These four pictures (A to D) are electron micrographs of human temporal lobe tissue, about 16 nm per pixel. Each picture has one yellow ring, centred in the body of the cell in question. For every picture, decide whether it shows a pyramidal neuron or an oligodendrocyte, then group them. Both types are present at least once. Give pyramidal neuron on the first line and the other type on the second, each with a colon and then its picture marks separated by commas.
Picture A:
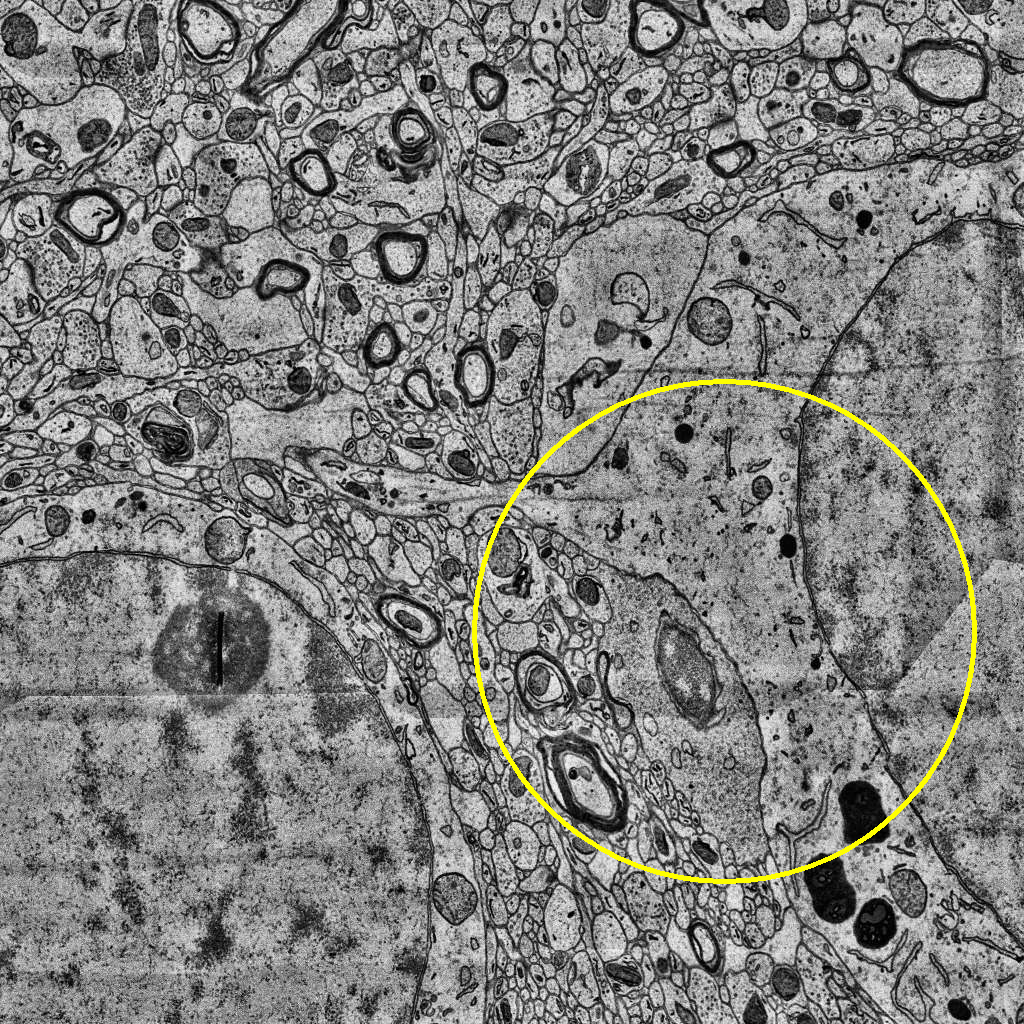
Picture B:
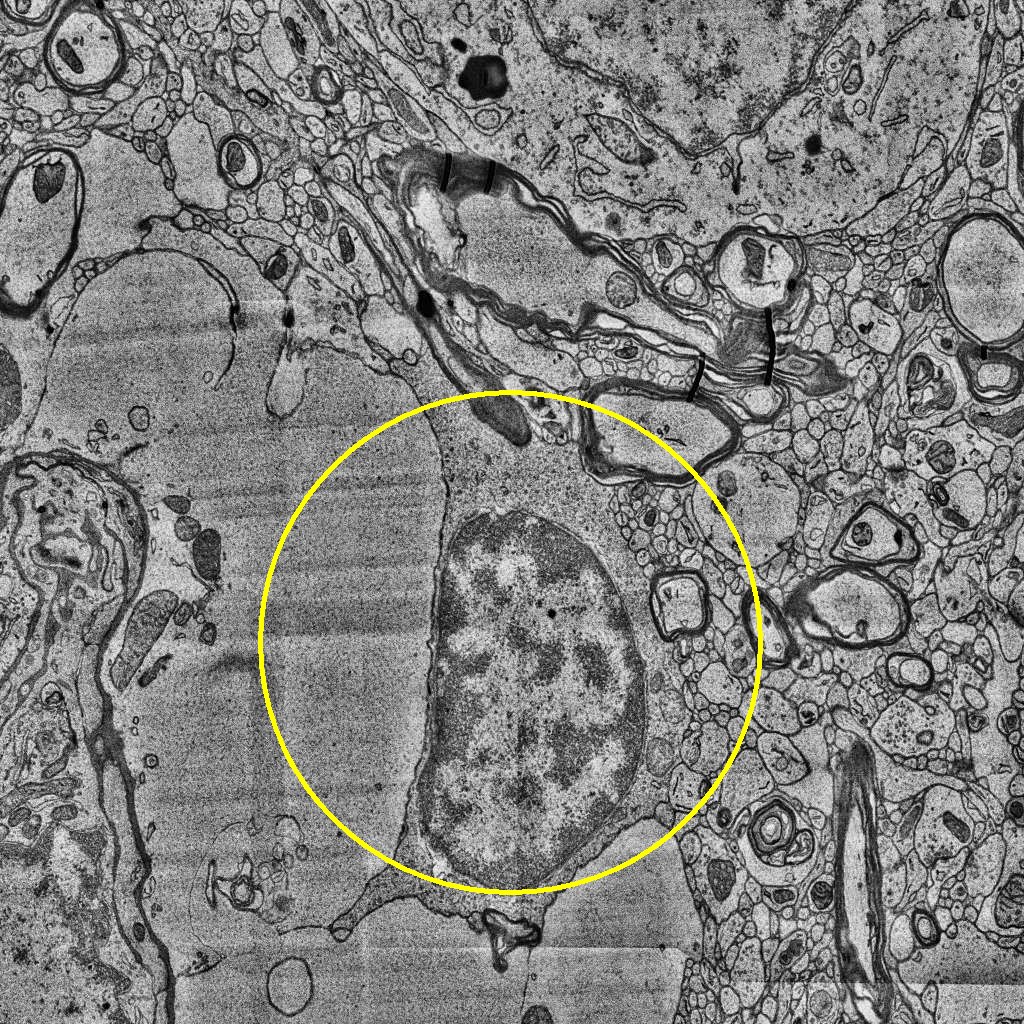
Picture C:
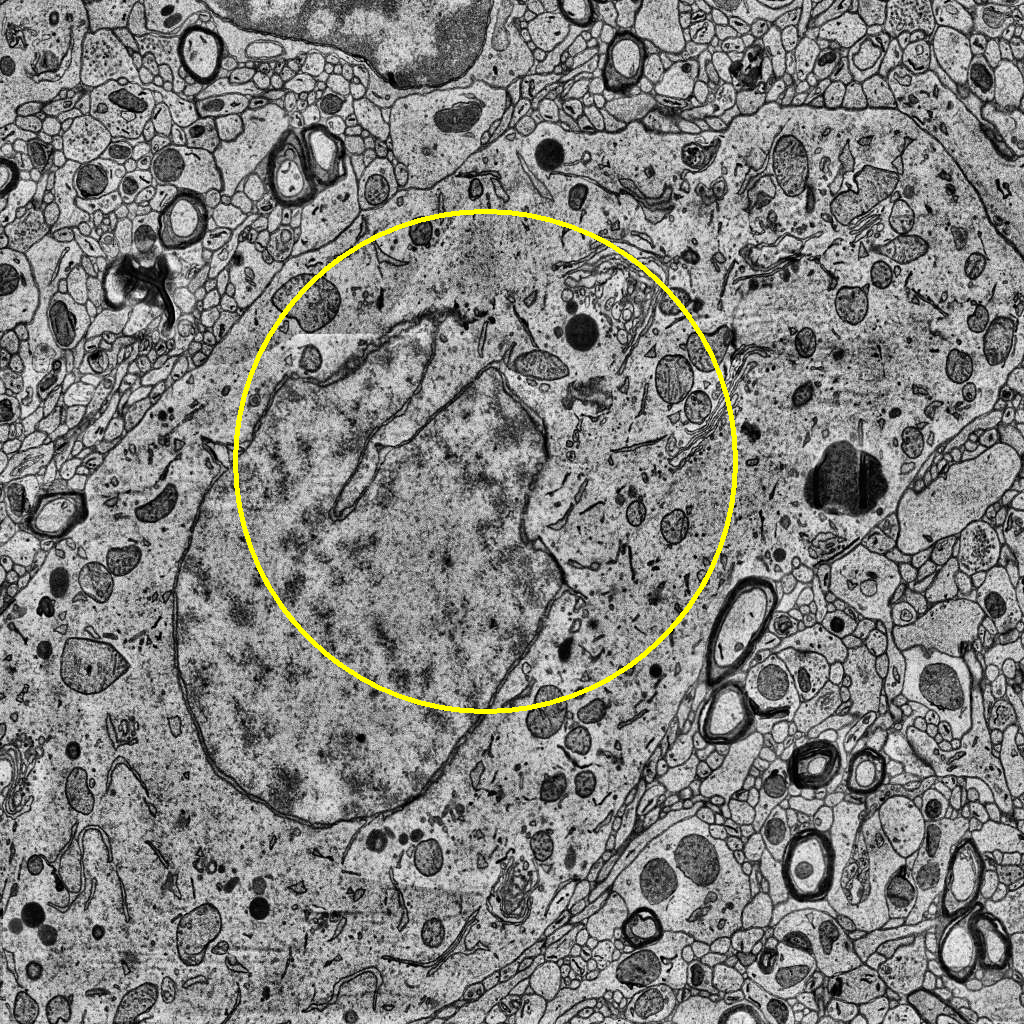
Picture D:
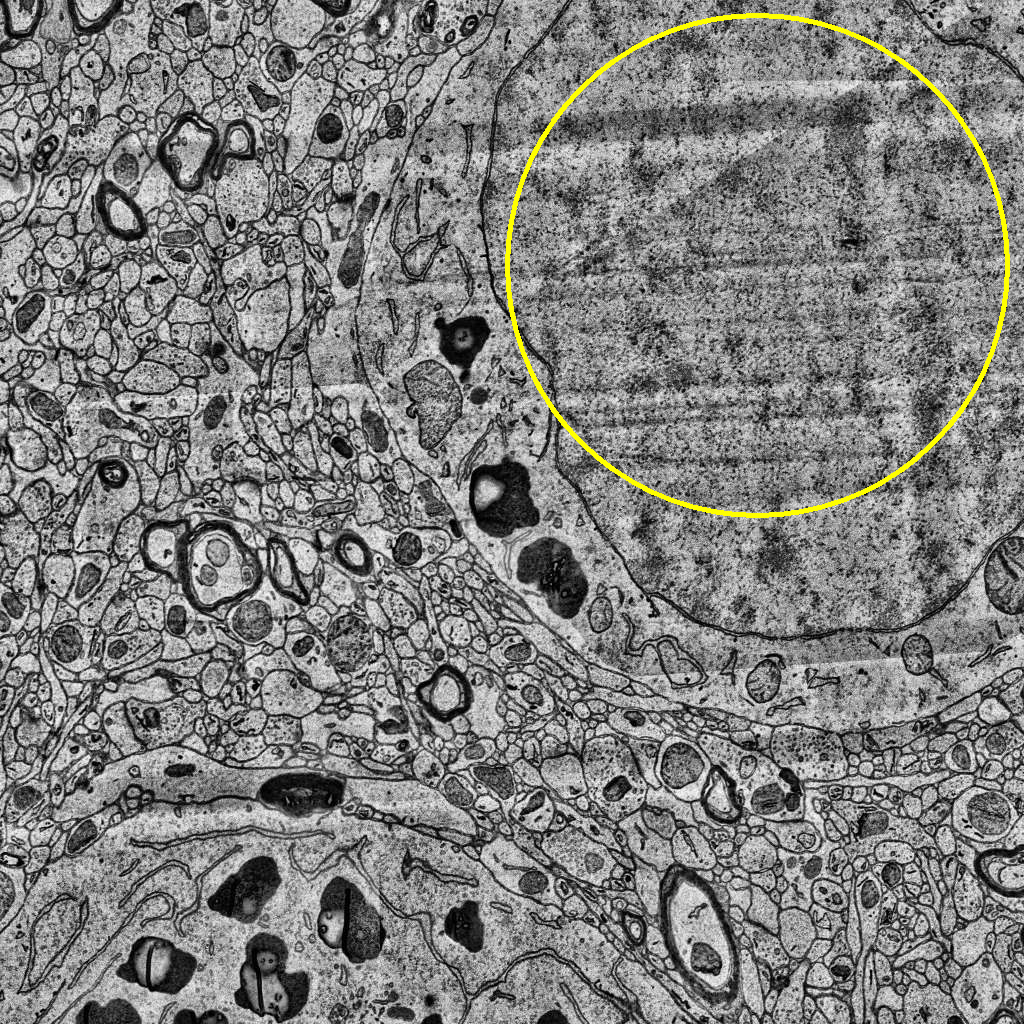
pyramidal neuron: C, D
oligodendrocyte: A, B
